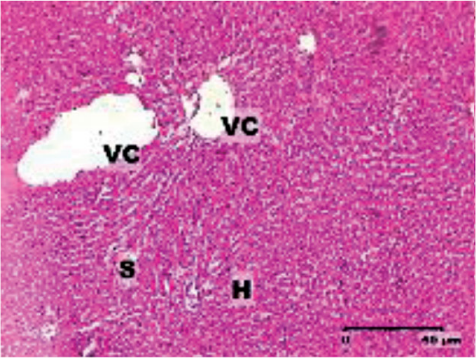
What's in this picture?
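This is liver tissue with pinkish-purple hepatocytes arranged in cords, their nuclei showing as small purple dots. In the upper part lie wide, empty white vessel spaces of central veins, one large and irregular. Around them the cell cords run outward, separated by thin pale sinusoids. Smaller round vessel profiles are scattered nearby.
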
